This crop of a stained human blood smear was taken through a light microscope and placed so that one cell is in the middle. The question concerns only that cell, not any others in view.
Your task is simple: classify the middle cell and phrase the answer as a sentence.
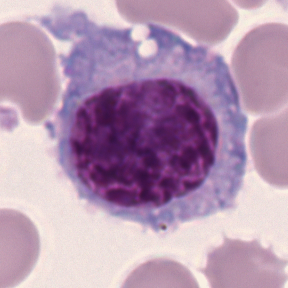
As for the central cell, it is a plasma cell.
